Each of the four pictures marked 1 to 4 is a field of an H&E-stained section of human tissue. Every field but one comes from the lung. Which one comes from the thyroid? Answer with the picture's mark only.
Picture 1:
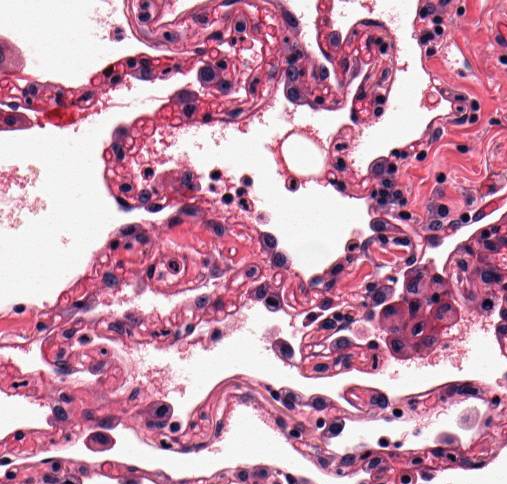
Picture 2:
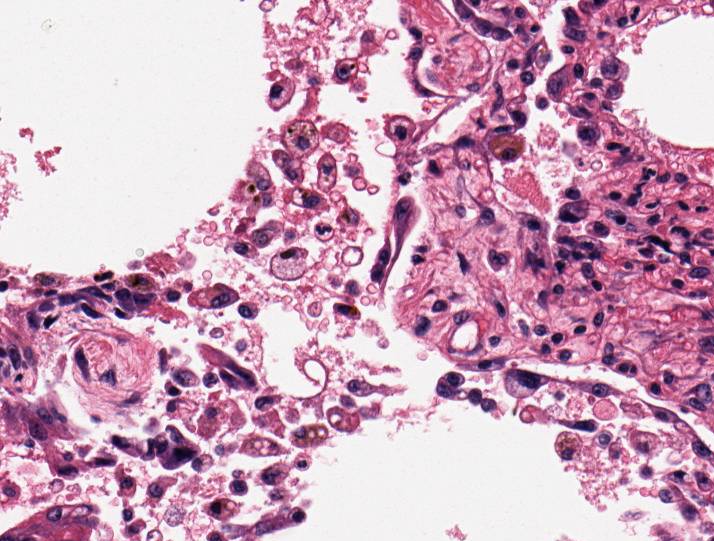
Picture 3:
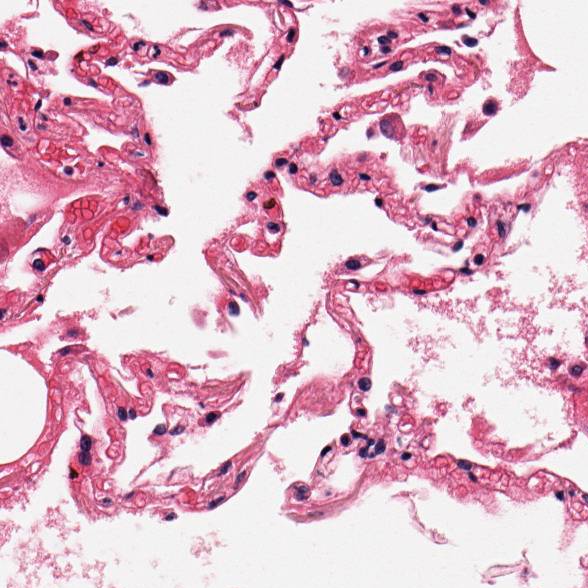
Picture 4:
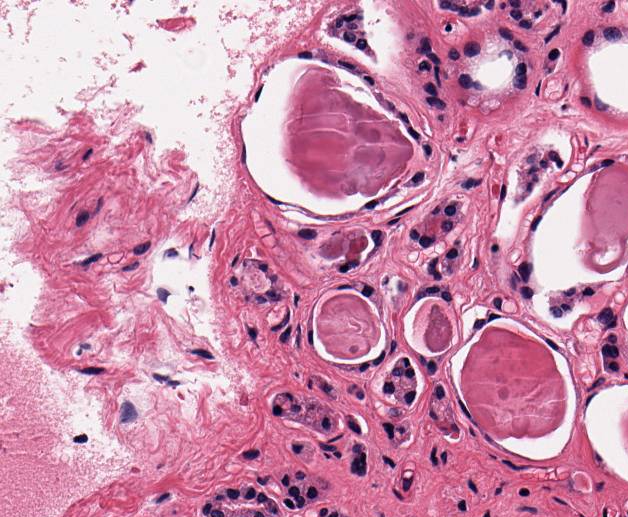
4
